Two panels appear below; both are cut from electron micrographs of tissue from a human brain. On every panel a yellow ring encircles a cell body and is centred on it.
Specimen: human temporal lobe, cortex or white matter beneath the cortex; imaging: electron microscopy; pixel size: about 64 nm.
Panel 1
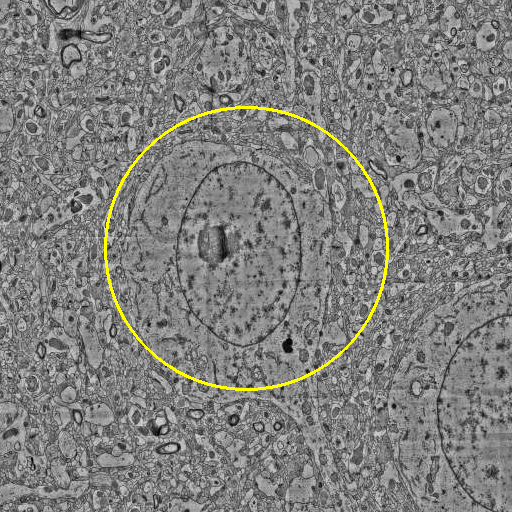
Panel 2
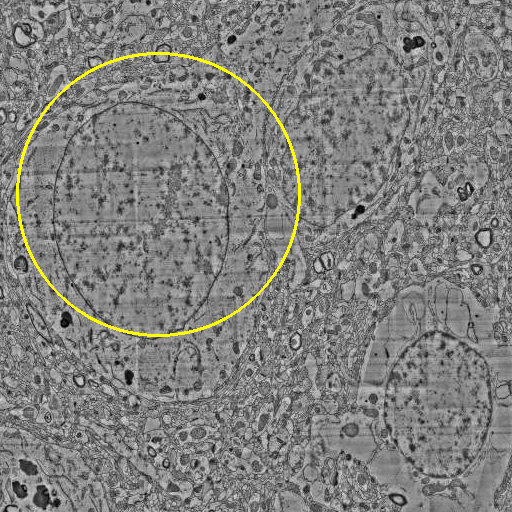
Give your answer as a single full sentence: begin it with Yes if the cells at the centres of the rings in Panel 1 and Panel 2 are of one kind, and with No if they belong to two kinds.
Yes, the cells in the middle of the rings in Panels 1 and 2 are of one kind.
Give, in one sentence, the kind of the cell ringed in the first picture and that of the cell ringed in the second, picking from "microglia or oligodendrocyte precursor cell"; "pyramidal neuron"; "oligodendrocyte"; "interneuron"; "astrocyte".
Each of the ringed cells, first and second, is a pyramidal neuron.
